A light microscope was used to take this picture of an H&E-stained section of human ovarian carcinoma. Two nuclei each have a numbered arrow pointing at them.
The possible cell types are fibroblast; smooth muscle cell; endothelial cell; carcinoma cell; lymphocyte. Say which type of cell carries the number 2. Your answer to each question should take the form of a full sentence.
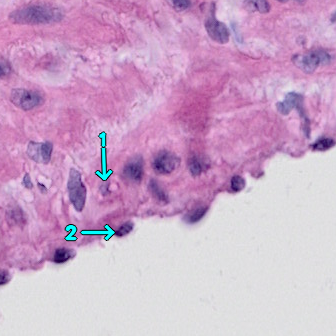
The cell bearing label 2 corresponds to an endothelial cell.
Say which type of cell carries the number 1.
The cell referenced by the number 1 is a smooth muscle cell in this field.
